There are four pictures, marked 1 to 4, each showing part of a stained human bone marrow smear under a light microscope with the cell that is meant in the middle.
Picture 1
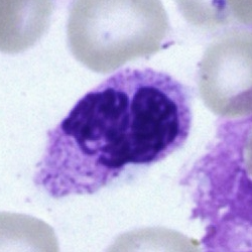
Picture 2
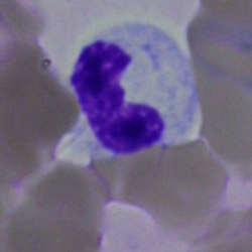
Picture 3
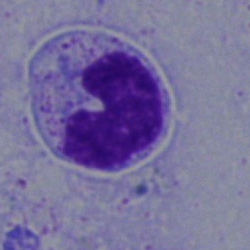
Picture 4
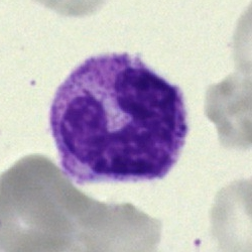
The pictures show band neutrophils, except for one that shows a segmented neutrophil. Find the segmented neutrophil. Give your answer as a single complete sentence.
The picture with the segmented neutrophil is 1.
